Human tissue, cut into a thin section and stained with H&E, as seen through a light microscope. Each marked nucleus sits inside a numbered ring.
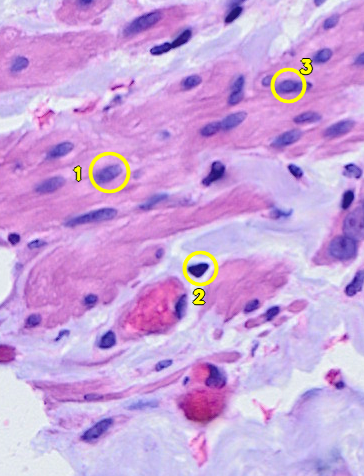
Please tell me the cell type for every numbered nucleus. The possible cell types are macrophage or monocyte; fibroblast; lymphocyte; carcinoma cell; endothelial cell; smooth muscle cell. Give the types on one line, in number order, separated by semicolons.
smooth muscle cell; lymphocyte; smooth muscle cell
